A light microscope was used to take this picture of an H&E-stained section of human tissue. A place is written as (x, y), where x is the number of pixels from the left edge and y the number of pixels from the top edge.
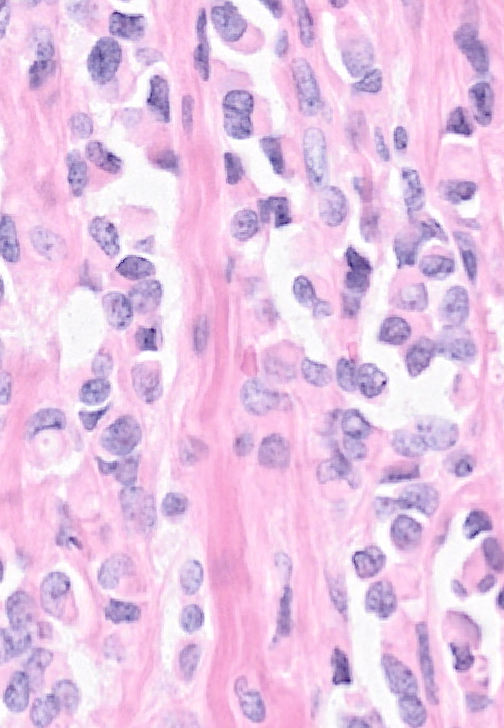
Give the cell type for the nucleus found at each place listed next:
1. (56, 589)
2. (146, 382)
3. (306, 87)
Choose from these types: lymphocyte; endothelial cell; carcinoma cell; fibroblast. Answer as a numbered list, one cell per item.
1. carcinoma cell
2. carcinoma cell
3. endothelial cell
